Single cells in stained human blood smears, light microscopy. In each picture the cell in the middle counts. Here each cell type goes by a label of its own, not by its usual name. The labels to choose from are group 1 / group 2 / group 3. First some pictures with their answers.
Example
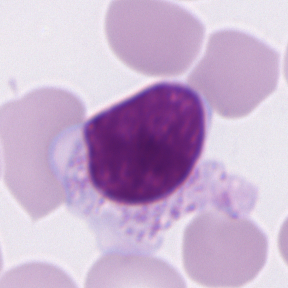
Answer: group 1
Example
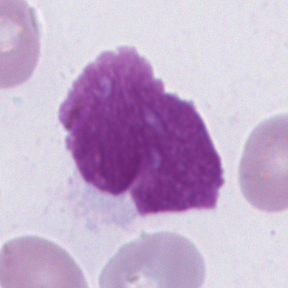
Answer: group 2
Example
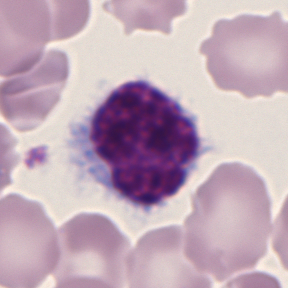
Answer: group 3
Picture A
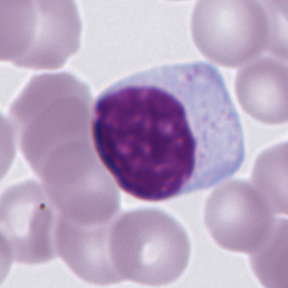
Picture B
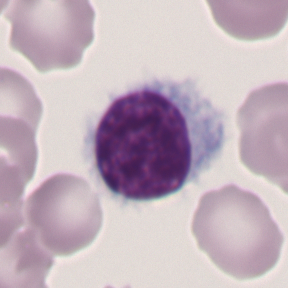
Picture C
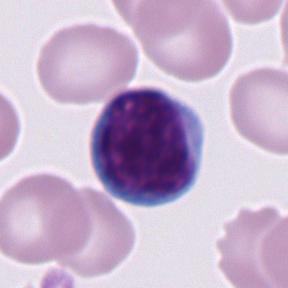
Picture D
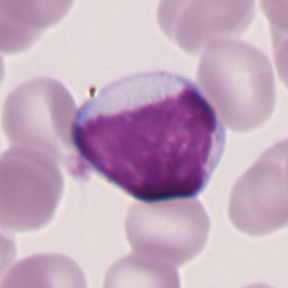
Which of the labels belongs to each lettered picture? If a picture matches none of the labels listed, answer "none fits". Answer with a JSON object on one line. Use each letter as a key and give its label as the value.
{"A": "group 1", "B": "group 3", "C": "none fits", "D": "group 1"}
